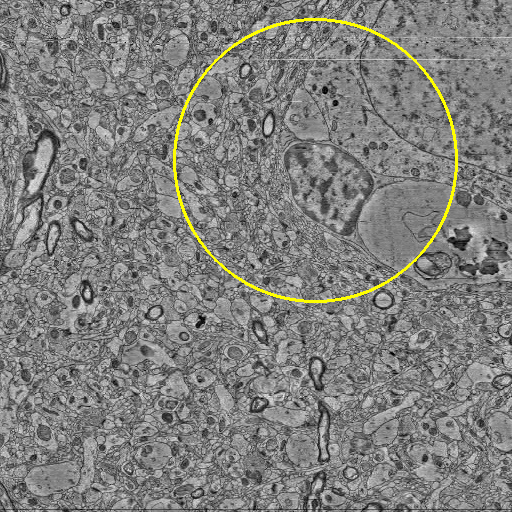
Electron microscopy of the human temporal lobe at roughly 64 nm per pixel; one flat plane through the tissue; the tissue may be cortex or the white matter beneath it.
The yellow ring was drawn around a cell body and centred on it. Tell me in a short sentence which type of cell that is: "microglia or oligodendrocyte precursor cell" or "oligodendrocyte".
The cell at the ring's centre is a microglial cell or oligodendrocyte precursor cell.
